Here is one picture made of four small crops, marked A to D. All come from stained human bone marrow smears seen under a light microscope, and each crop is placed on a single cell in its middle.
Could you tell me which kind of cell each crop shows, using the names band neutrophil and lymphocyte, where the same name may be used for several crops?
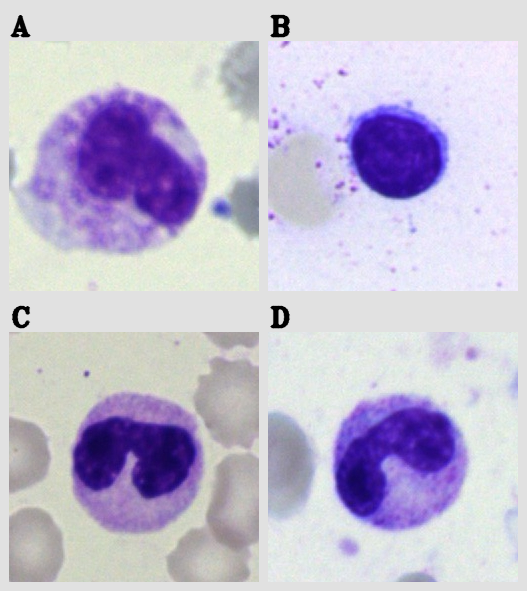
A: band neutrophil
B: lymphocyte
C: band neutrophil
D: band neutrophil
